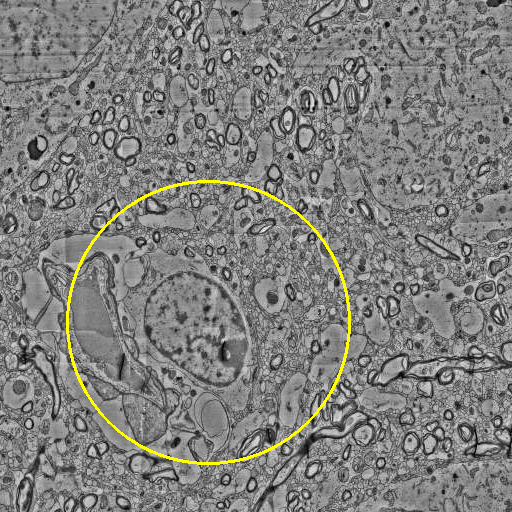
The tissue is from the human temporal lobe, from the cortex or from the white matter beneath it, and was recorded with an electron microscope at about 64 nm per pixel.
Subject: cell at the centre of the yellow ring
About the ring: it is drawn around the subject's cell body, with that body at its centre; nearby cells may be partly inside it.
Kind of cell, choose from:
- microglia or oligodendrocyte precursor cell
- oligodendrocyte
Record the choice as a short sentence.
The subject cell is a microglial cell or oligodendrocyte precursor cell.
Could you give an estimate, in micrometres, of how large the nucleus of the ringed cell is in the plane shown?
Approximately 8 by 6 micrometers in this plane.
